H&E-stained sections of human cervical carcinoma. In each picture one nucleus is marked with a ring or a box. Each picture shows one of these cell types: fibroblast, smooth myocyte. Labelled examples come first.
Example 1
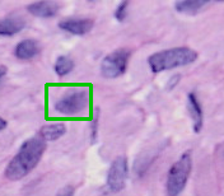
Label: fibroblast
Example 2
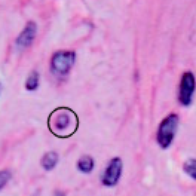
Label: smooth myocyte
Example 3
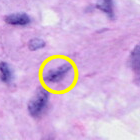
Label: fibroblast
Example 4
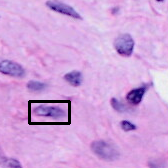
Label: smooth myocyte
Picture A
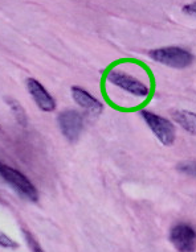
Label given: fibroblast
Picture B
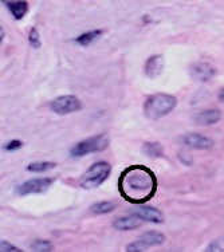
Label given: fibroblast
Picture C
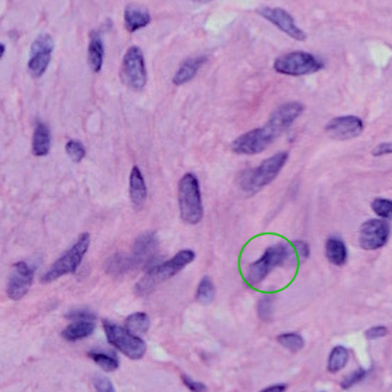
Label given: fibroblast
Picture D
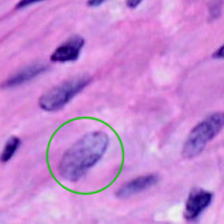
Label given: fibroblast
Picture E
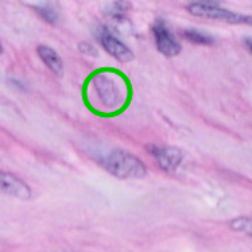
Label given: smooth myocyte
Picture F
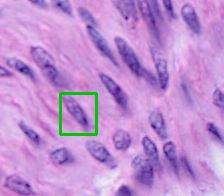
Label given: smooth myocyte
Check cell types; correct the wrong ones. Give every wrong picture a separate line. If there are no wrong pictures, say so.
B: change fibroblast to smooth myocyte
